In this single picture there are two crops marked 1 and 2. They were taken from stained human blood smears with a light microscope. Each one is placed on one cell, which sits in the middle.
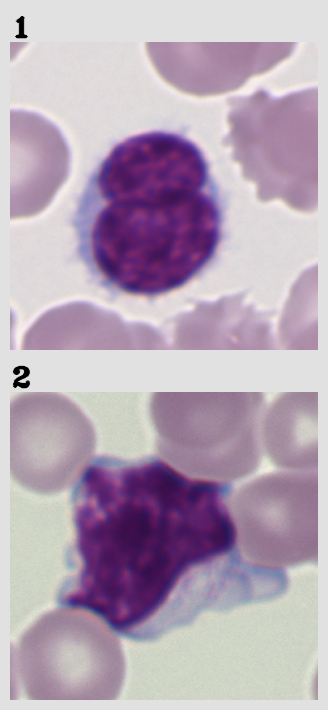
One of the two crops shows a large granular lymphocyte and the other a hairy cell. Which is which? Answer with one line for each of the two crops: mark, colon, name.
1: hairy cell
2: large granular lymphocyte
